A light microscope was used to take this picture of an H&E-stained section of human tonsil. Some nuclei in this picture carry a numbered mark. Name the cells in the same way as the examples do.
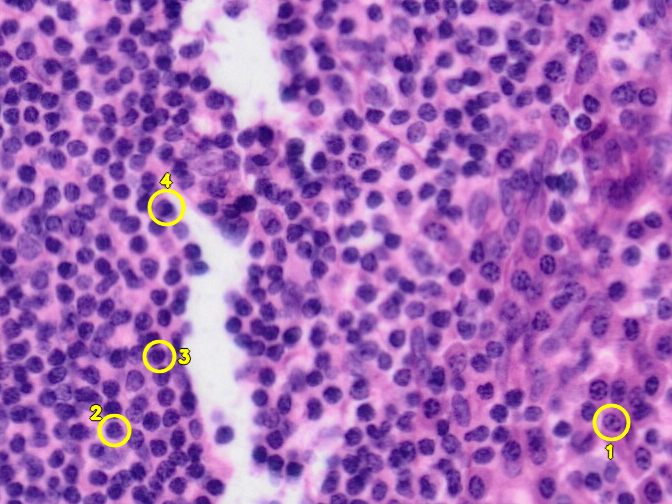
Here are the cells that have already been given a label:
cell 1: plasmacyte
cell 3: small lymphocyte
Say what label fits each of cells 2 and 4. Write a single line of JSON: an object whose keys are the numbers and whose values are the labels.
{"2": "small lymphocyte", "4": "small lymphocyte"}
